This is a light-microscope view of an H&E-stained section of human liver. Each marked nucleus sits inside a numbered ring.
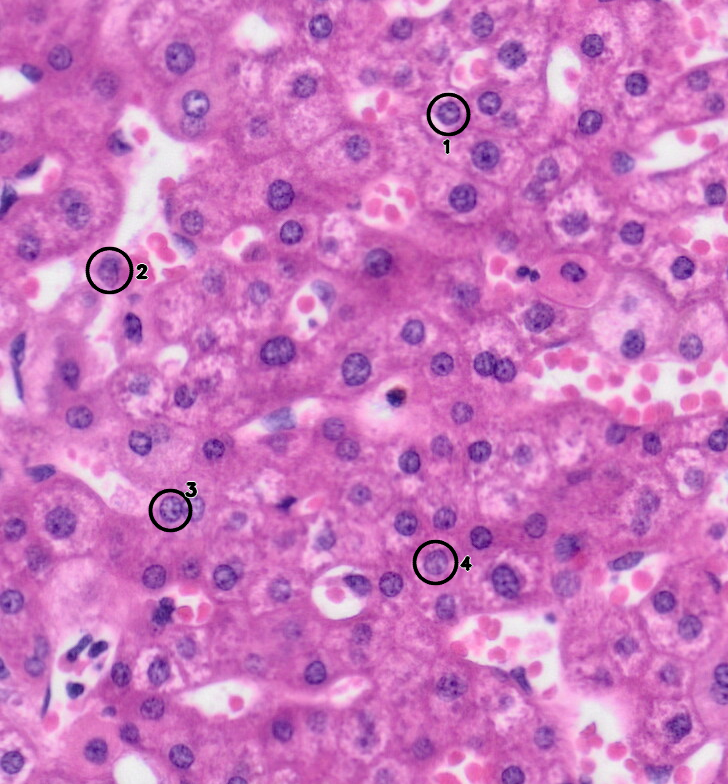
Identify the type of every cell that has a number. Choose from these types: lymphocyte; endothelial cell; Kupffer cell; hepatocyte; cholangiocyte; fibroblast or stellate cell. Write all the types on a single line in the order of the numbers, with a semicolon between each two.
hepatocyte; Kupffer cell; hepatocyte; hepatocyte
